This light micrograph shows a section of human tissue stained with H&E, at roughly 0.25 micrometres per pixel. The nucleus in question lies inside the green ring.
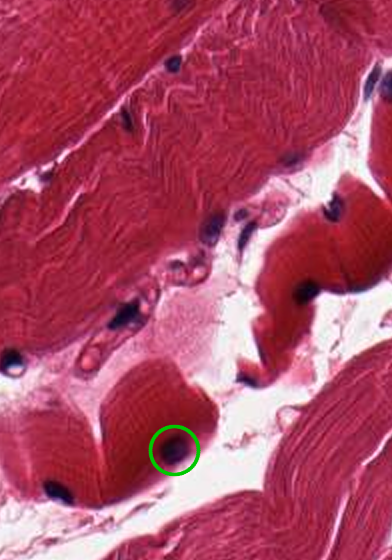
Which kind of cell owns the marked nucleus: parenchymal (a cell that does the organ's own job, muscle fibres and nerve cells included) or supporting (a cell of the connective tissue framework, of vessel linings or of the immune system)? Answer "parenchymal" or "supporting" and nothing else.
parenchymal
